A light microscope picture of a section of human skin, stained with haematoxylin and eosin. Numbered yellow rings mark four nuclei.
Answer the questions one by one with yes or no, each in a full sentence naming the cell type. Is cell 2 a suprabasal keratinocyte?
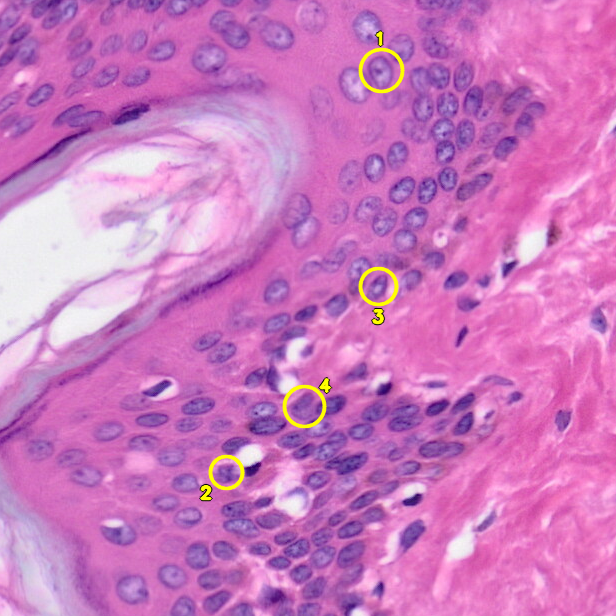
No, cell 2 is a basal keratinocyte, not a suprabasal keratinocyte.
